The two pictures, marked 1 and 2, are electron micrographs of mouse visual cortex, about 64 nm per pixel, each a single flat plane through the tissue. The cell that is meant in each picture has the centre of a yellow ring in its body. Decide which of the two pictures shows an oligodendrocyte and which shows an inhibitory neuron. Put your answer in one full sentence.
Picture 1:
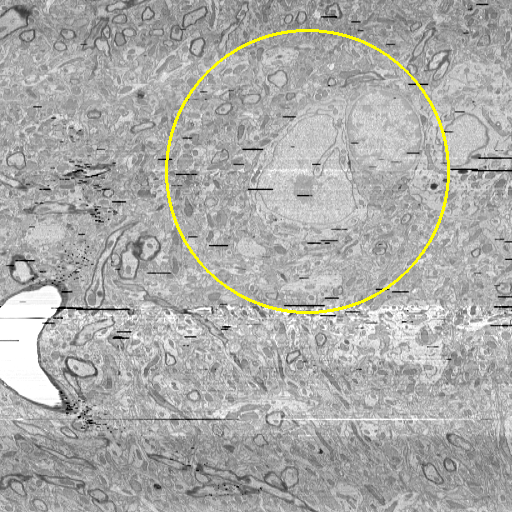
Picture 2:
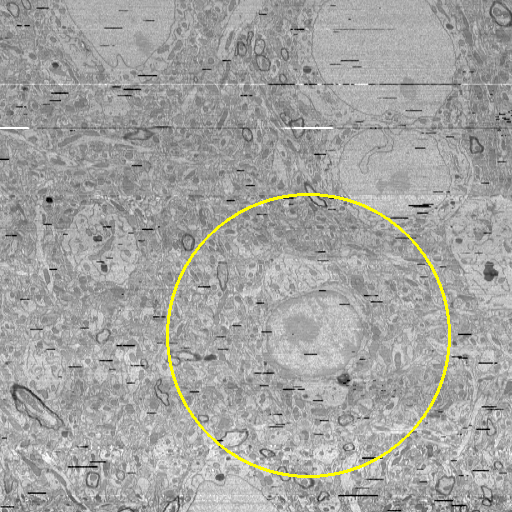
In picture 1 the cell is an inhibitory neuron; in picture 2, an oligodendrocyte.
